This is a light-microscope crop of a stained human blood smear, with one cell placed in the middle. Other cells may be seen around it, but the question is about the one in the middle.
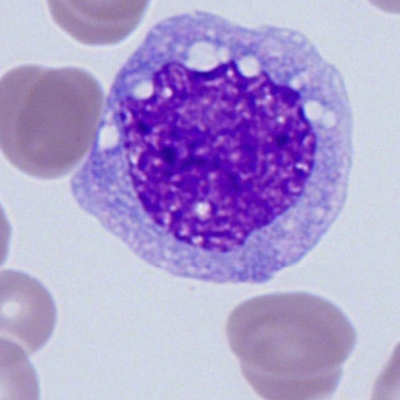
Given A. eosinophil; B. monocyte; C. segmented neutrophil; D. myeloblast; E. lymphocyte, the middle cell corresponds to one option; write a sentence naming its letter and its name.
For this crop, option B is right, the centered cell being a monocyte.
